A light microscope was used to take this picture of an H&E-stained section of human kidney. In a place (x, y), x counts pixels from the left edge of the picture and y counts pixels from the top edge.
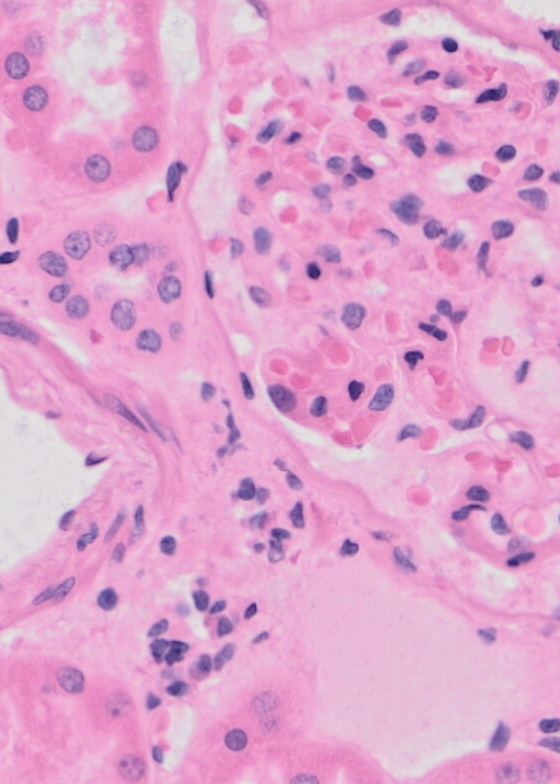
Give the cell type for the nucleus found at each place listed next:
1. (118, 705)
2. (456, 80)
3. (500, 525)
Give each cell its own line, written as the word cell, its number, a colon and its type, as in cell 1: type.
cell 1: proximal tubule cell
cell 2: endothelial cell
cell 3: endothelial cell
